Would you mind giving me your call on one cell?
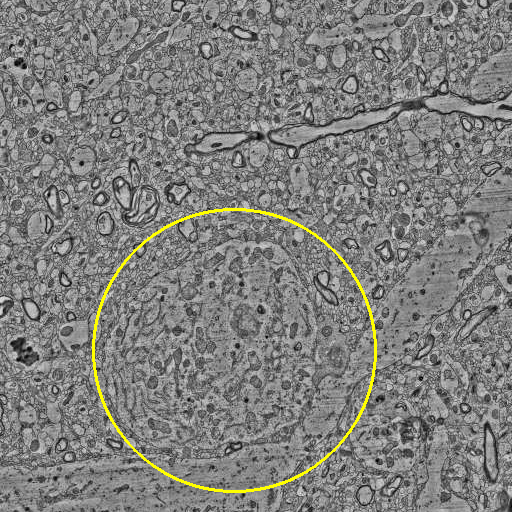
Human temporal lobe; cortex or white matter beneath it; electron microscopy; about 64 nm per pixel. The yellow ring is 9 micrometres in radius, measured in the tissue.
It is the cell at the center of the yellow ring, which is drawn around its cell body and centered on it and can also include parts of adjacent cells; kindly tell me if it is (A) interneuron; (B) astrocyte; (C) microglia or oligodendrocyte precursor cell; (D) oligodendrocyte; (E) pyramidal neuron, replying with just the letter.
A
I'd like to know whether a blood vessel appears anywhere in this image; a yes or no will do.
No, there is no blood vessel.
